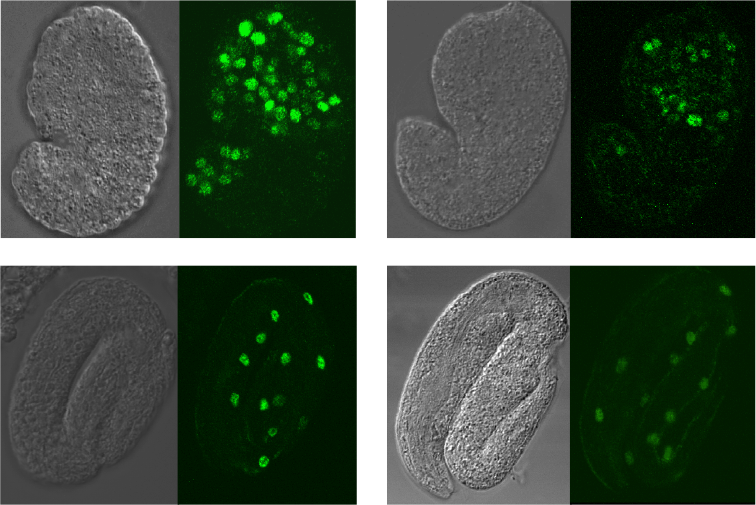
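These are whole embryos, shown in four pairs: a grey differential-contrast image of each embryo next to its green fluorescence image. In the lower pairs the embryos are elongated and folded inside the oval shell. Here only a few green nuclei are lit, spaced out along the length of the body.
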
